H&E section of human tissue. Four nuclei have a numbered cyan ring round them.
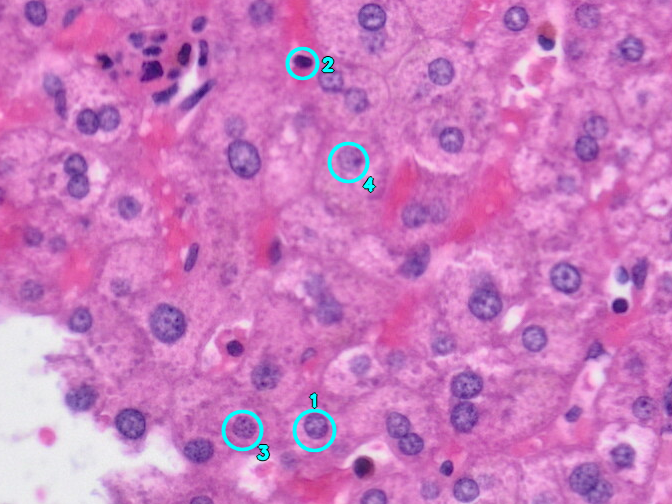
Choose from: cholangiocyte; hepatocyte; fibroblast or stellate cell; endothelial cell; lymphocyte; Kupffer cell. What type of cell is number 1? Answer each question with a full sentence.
At number 1, the marked cell is a hepatocyte.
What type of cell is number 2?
The cell that goes by number 2 is a lymphocyte.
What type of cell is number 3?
Marked with the number 3, this cell is a hepatocyte.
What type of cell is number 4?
The one labeled 4 is a hepatocyte, to put it simply.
